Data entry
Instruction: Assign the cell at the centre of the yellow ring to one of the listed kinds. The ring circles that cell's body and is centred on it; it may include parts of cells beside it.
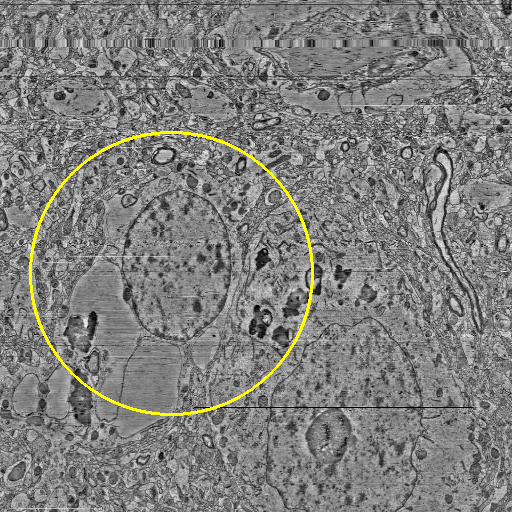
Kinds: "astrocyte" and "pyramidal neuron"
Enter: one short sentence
The centre of the ring falls on an astrocyte.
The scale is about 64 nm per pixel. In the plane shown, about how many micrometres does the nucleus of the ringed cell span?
The nucleus is approximately 10 micrometers long by 7 micrometers wide in this plane.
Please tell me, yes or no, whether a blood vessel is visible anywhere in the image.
Yes, a blood vessel can be seen.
